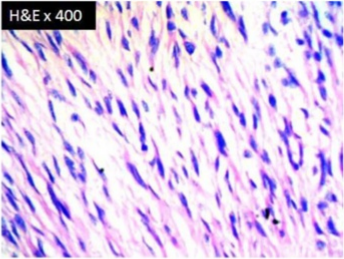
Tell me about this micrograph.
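This high-power view of the lesion shows spindle cells arranged in a fascicular pattern. The nuclei are elongated, tapered and dark blue, and some are slightly wavy. The cytoplasm is pale pink and fibrillary, drawn out into long indistinct processes. The cells run in parallel streams oriented diagonally across the field.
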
